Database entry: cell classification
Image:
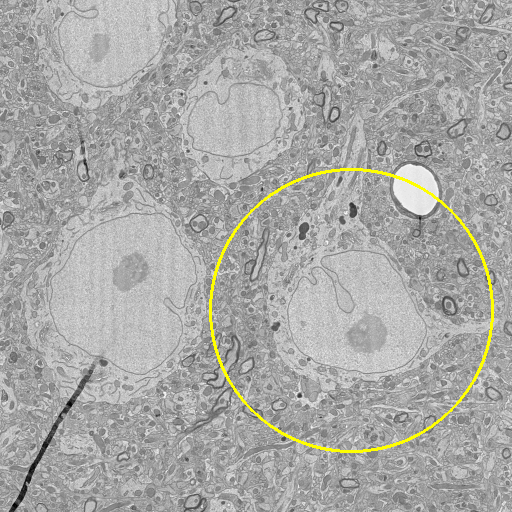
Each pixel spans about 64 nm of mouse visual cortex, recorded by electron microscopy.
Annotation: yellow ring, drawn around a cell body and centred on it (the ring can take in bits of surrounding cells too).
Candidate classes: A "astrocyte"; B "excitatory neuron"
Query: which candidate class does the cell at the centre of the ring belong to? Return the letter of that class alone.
B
